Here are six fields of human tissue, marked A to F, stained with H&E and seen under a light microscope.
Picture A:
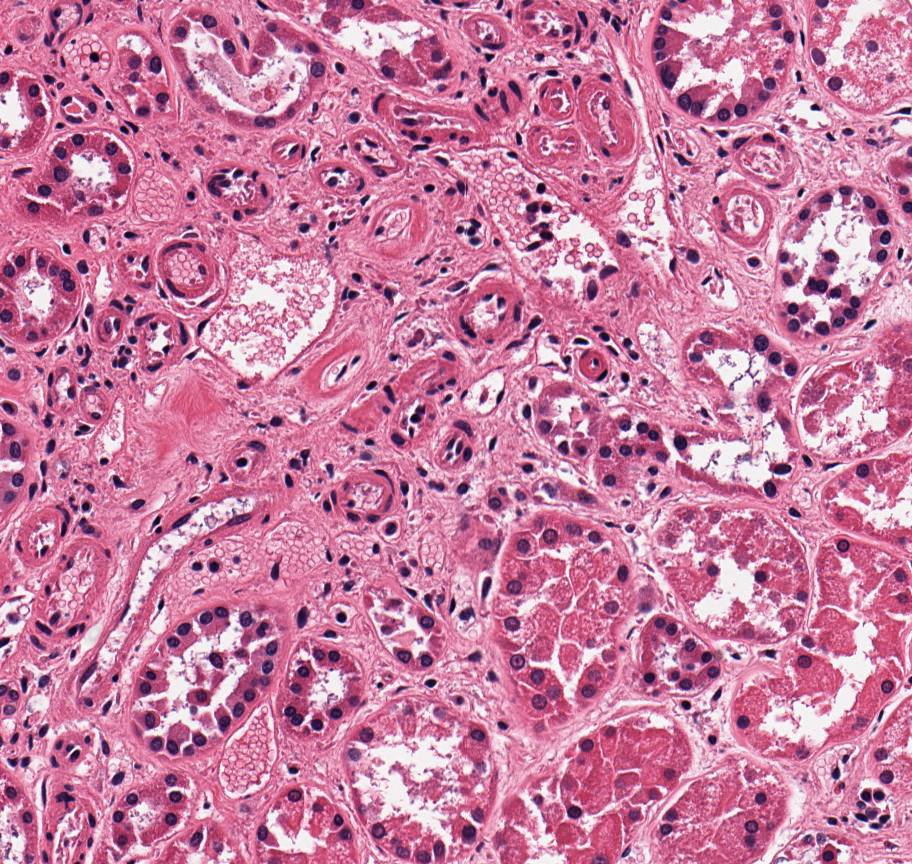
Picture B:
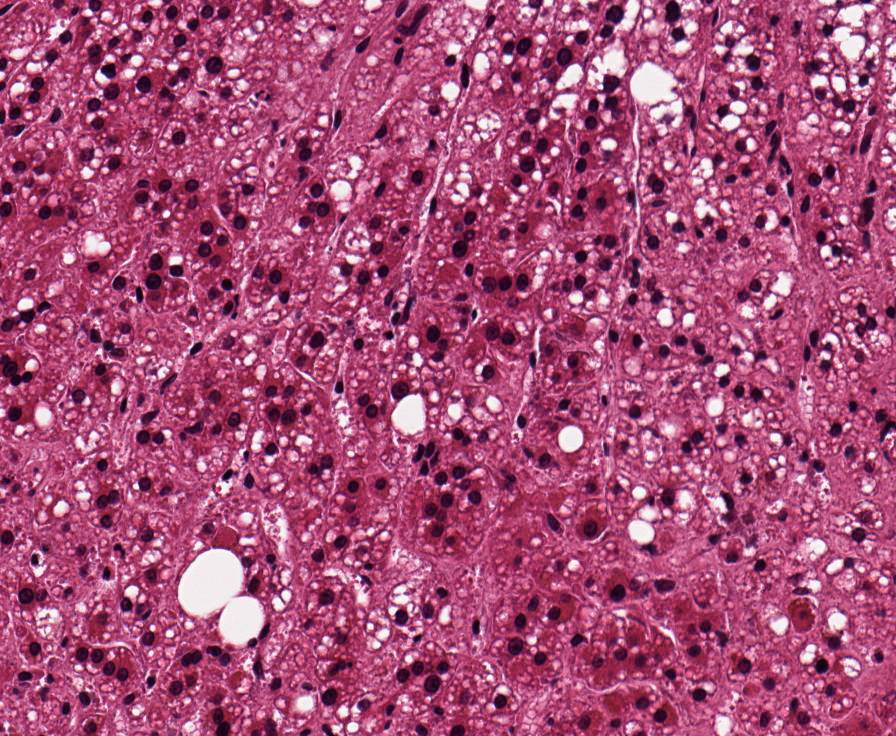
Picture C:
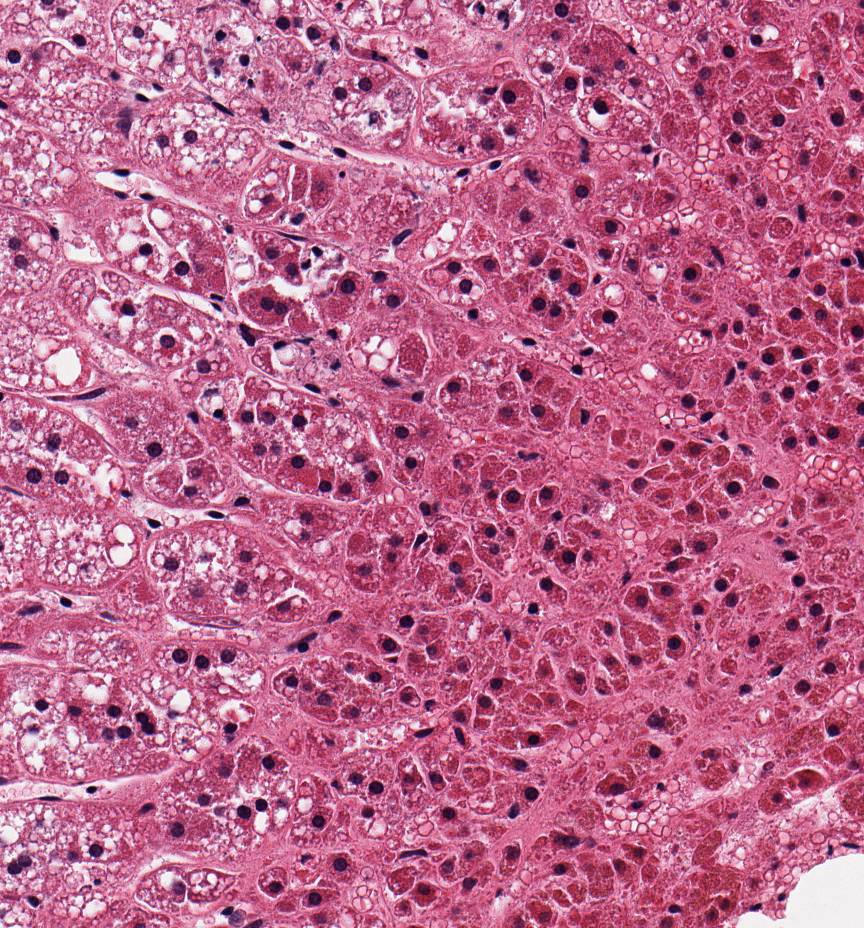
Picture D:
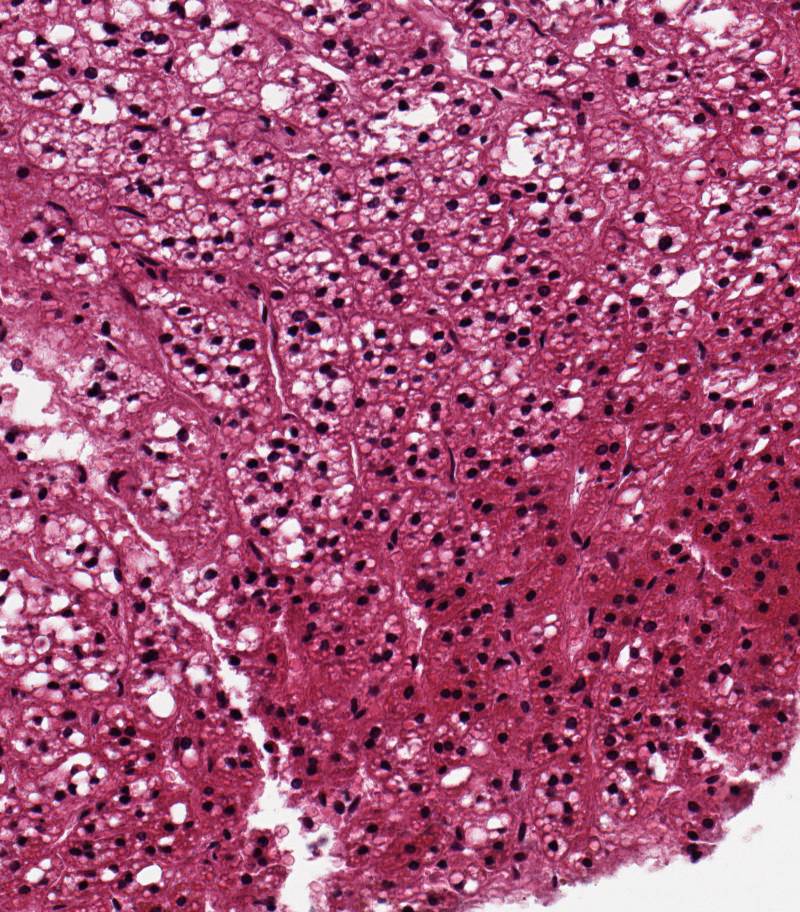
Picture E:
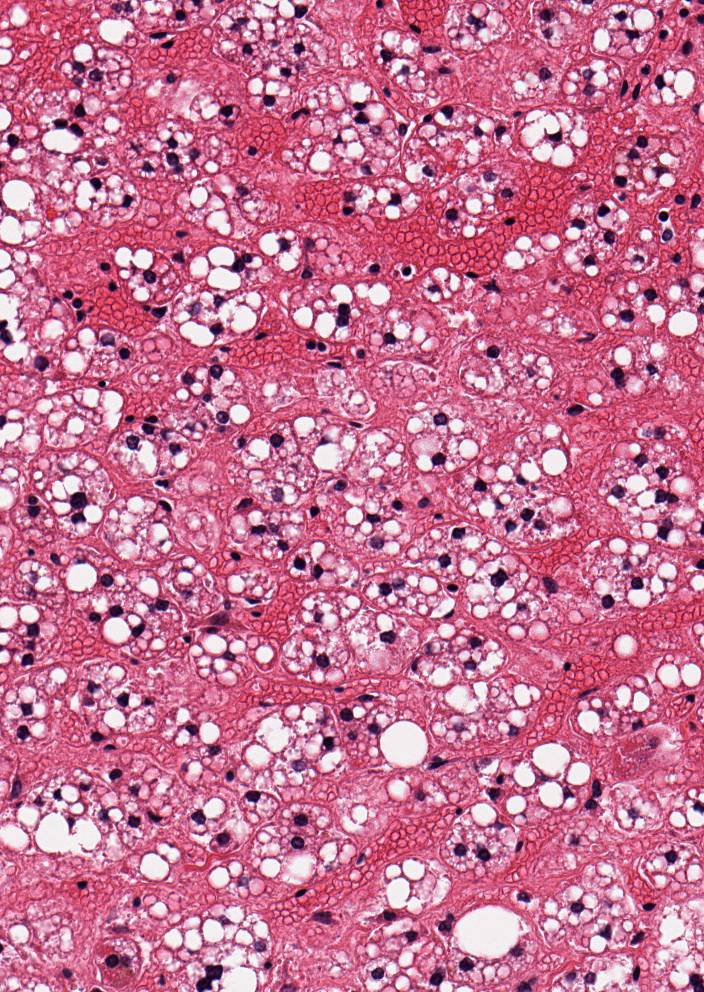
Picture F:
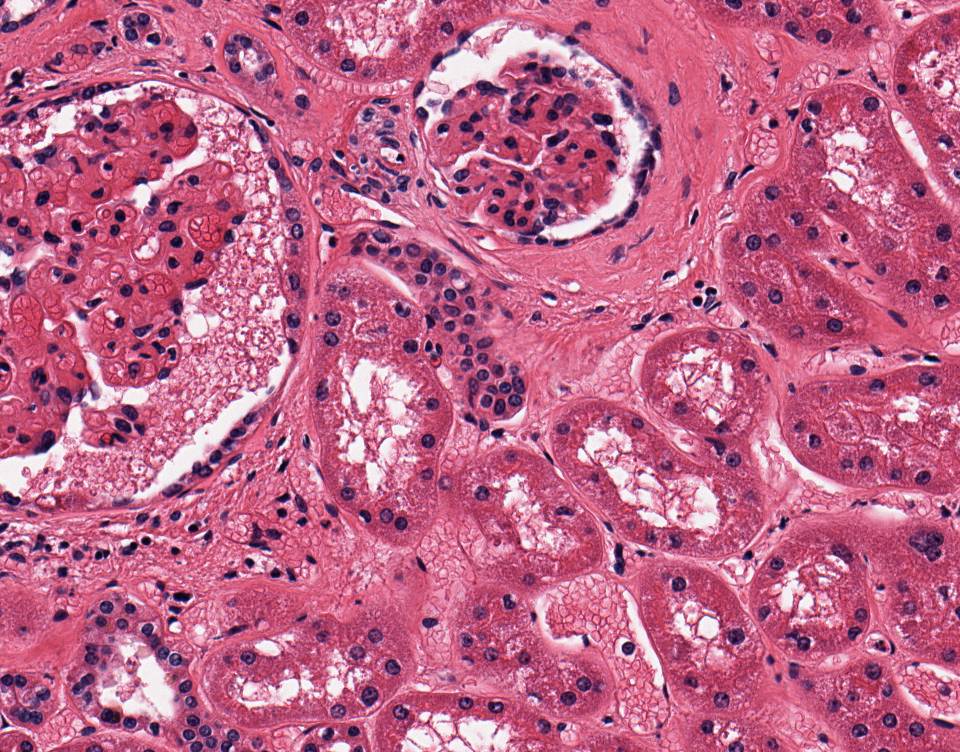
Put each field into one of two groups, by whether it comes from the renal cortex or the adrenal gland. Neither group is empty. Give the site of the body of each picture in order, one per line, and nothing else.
renal cortex
adrenal gland
adrenal gland
adrenal gland
adrenal gland
renal cortex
